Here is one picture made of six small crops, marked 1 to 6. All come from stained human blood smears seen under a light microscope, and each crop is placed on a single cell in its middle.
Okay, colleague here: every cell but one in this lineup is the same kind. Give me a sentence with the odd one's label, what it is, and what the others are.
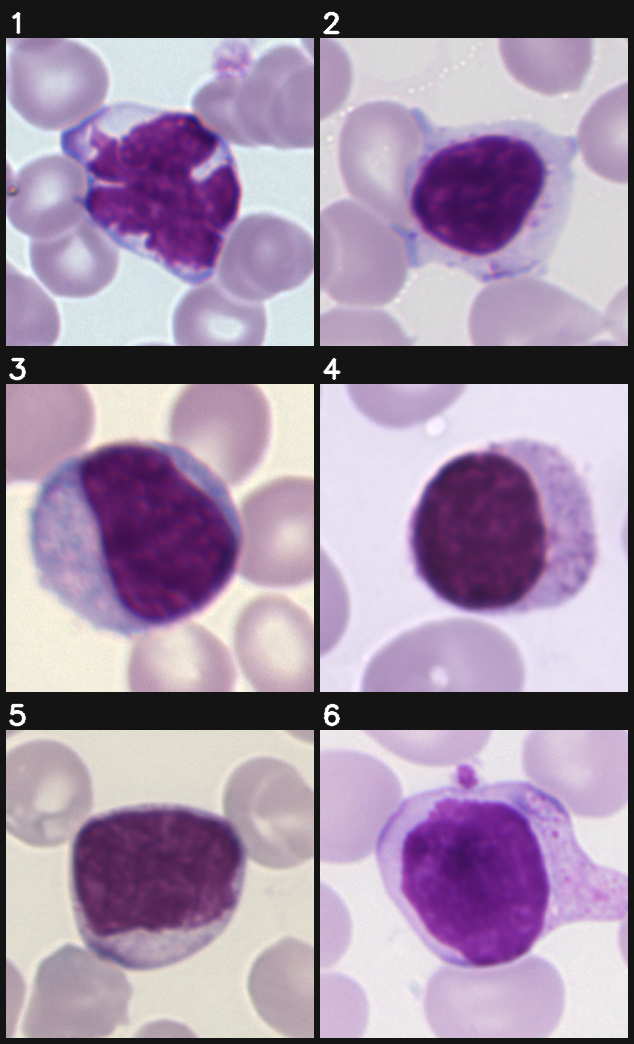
Crop 3 differs: it is a typical lymphocyte, and all the other crops show large granular lymphocytes.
